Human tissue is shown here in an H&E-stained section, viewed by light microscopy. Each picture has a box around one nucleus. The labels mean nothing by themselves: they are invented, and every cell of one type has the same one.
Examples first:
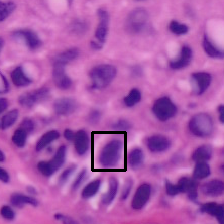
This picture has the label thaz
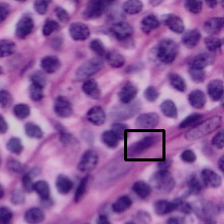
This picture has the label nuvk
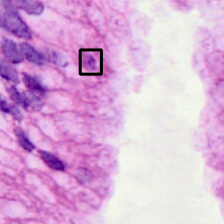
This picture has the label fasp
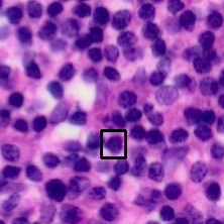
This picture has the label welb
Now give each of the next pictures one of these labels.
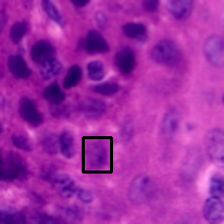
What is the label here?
thaz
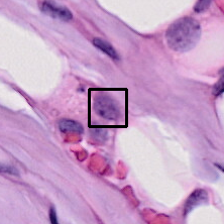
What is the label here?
nuvk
